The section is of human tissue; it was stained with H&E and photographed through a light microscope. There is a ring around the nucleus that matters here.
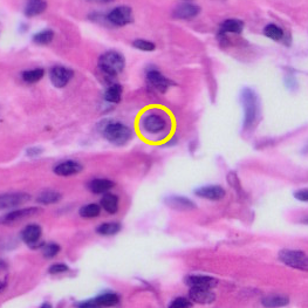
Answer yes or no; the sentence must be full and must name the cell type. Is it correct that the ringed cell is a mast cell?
Yes, the ringed cell is one that is classed as a mast cell.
